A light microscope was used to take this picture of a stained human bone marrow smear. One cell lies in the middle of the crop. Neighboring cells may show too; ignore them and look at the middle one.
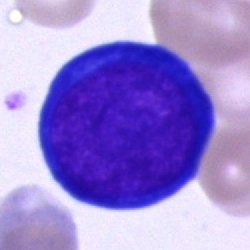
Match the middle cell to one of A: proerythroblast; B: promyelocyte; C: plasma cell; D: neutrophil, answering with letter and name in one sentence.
Option A correctly names the cell in the middle as a proerythroblast.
